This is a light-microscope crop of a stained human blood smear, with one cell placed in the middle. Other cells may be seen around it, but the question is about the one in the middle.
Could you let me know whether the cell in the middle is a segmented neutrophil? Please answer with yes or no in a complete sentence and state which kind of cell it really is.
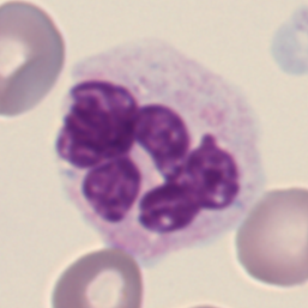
Yes, the cell lying in the centre of the crop is identified as a segmented neutrophil.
